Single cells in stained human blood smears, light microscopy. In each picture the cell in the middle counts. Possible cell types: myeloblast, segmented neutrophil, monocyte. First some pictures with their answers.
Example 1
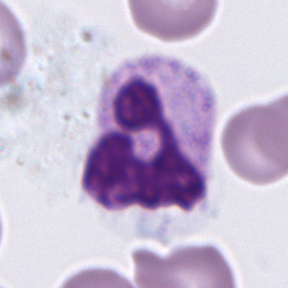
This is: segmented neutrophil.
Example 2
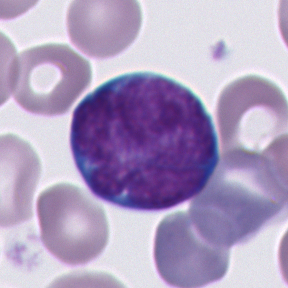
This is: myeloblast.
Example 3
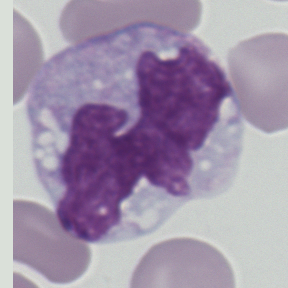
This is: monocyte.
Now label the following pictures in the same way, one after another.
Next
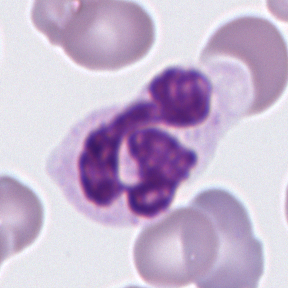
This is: segmented neutrophil.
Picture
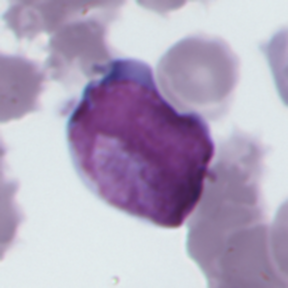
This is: myeloblast.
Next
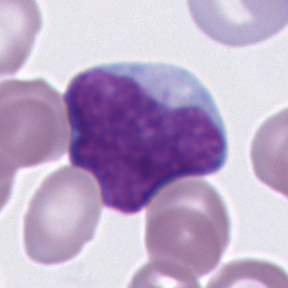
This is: myeloblast.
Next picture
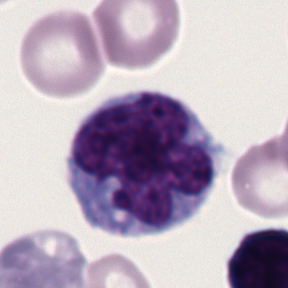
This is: monocyte.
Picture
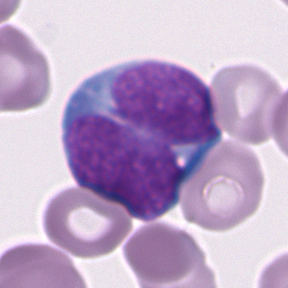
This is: myeloblast.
